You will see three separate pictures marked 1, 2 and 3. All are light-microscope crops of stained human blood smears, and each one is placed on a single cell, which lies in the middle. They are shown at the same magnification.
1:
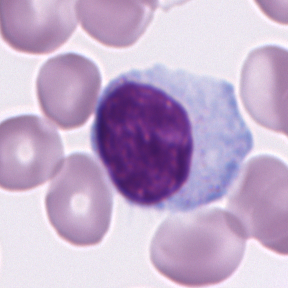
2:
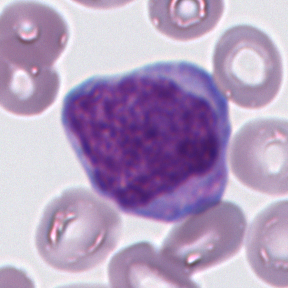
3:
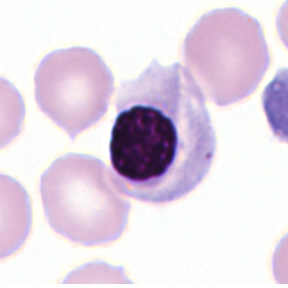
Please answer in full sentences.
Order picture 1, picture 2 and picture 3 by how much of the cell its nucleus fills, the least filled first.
From the least filled to the most, the order is 3, 1, 2.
